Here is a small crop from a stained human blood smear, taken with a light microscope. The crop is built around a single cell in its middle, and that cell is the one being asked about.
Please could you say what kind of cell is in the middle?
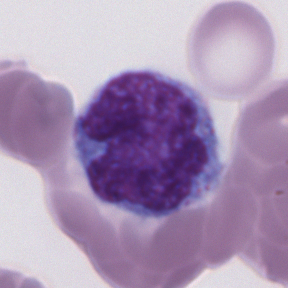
monocyte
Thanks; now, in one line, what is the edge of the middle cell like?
Happy to help: the outline is smooth and shows no projections.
